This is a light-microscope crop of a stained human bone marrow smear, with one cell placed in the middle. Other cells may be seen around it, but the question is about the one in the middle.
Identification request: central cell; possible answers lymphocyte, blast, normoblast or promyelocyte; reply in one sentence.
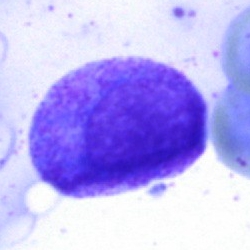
The centrally located cell in the crop is a promyelocyte.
